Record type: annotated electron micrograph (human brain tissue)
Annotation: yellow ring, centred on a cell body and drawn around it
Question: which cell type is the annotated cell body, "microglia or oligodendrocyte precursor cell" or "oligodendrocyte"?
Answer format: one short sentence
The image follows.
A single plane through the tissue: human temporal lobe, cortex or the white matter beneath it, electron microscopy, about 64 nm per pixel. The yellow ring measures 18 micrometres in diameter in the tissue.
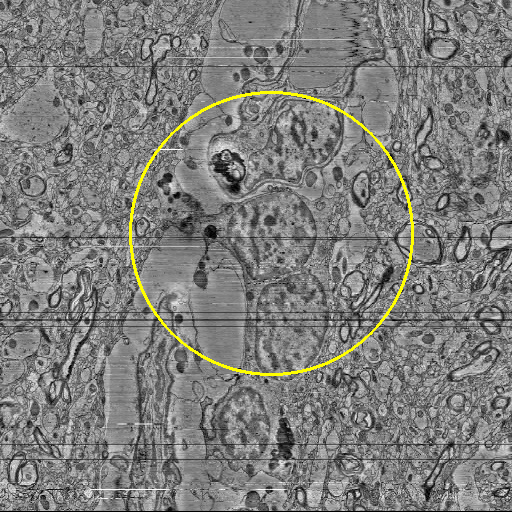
The annotated cell body is that of an oligodendrocyte.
